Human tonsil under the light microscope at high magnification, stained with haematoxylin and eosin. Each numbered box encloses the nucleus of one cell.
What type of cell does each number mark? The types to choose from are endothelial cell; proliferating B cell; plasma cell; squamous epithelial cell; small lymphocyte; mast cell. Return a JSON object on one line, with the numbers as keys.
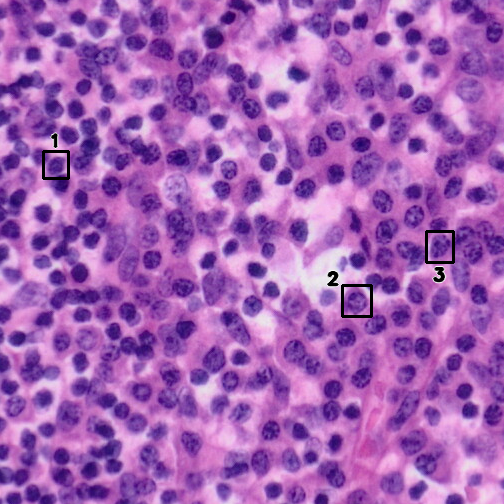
{"1": "small lymphocyte", "2": "plasma cell", "3": "plasma cell"}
